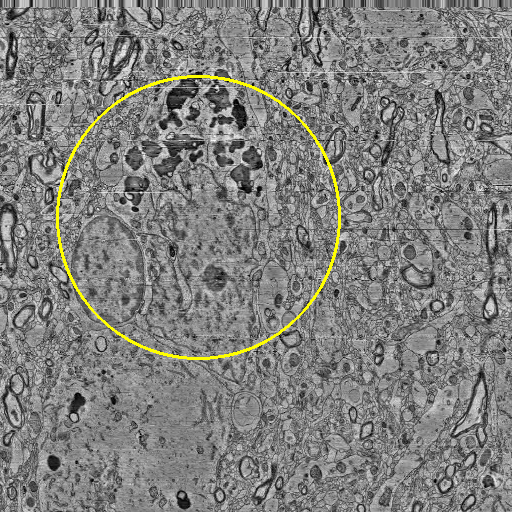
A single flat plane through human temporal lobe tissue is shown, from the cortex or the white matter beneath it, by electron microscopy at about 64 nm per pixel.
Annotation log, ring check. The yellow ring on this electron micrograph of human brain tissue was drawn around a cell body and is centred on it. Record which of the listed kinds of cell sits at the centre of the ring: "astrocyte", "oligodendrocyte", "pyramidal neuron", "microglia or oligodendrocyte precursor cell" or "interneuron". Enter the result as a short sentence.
The cell at the centre of the ring is an interneuron.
